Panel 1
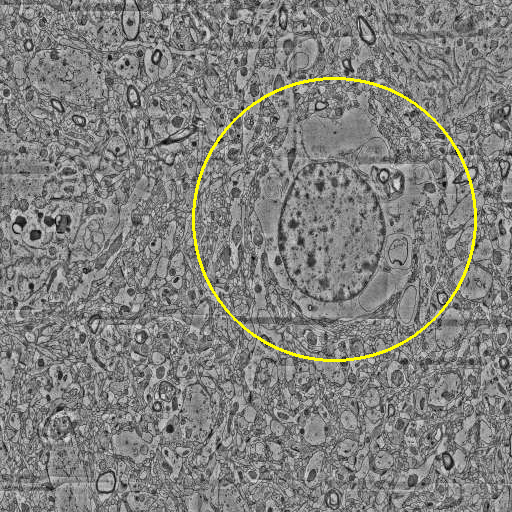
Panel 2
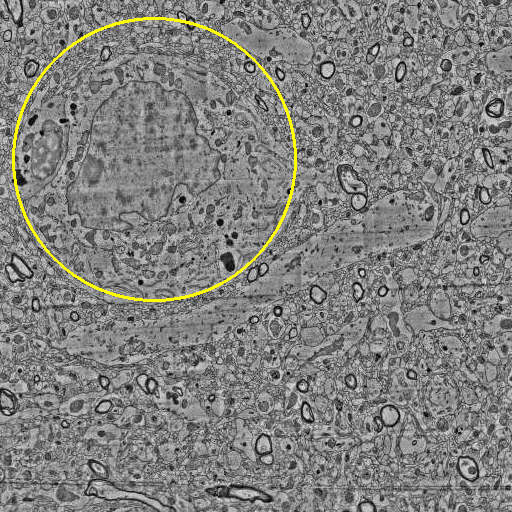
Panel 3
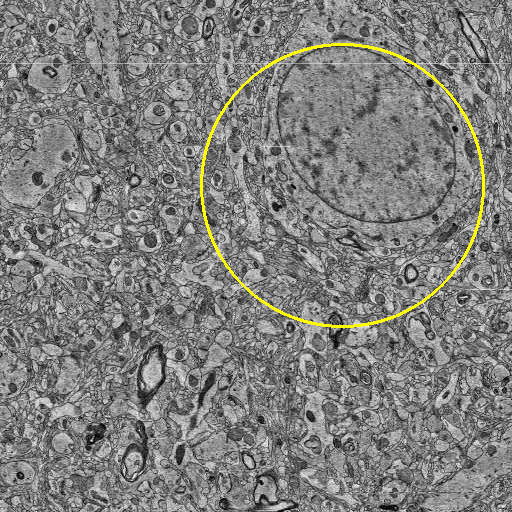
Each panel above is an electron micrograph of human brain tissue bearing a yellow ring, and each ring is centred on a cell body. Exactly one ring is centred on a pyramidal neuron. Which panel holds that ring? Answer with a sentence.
That ring is in Panel 3.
